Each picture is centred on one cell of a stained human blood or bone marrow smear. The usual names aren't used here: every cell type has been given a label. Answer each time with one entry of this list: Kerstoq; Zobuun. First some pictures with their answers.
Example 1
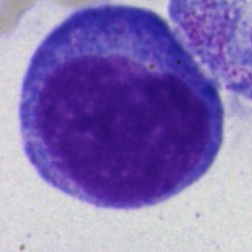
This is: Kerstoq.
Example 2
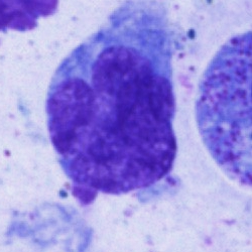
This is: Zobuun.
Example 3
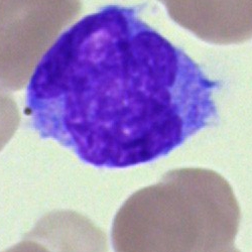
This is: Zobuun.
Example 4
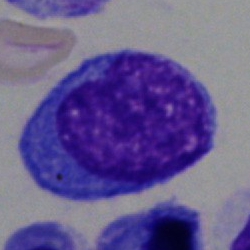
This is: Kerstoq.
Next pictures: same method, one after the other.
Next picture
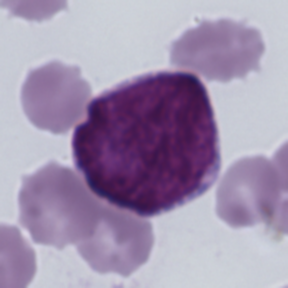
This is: Kerstoq.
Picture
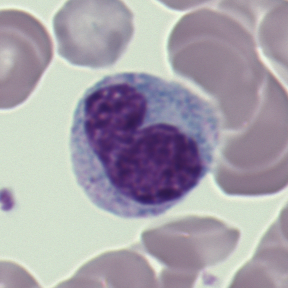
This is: Zobuun.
